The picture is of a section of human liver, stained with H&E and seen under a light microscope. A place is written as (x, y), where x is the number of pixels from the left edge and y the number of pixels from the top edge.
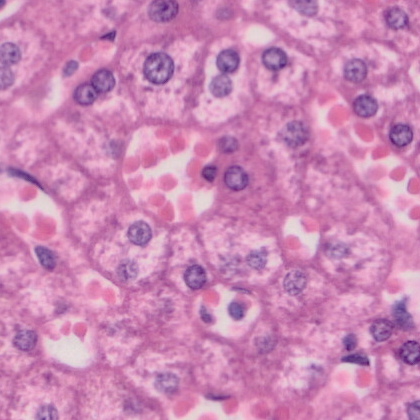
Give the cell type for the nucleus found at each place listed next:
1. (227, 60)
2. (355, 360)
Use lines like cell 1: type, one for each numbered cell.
cell 1: hepatocyte
cell 2: endothelial cell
